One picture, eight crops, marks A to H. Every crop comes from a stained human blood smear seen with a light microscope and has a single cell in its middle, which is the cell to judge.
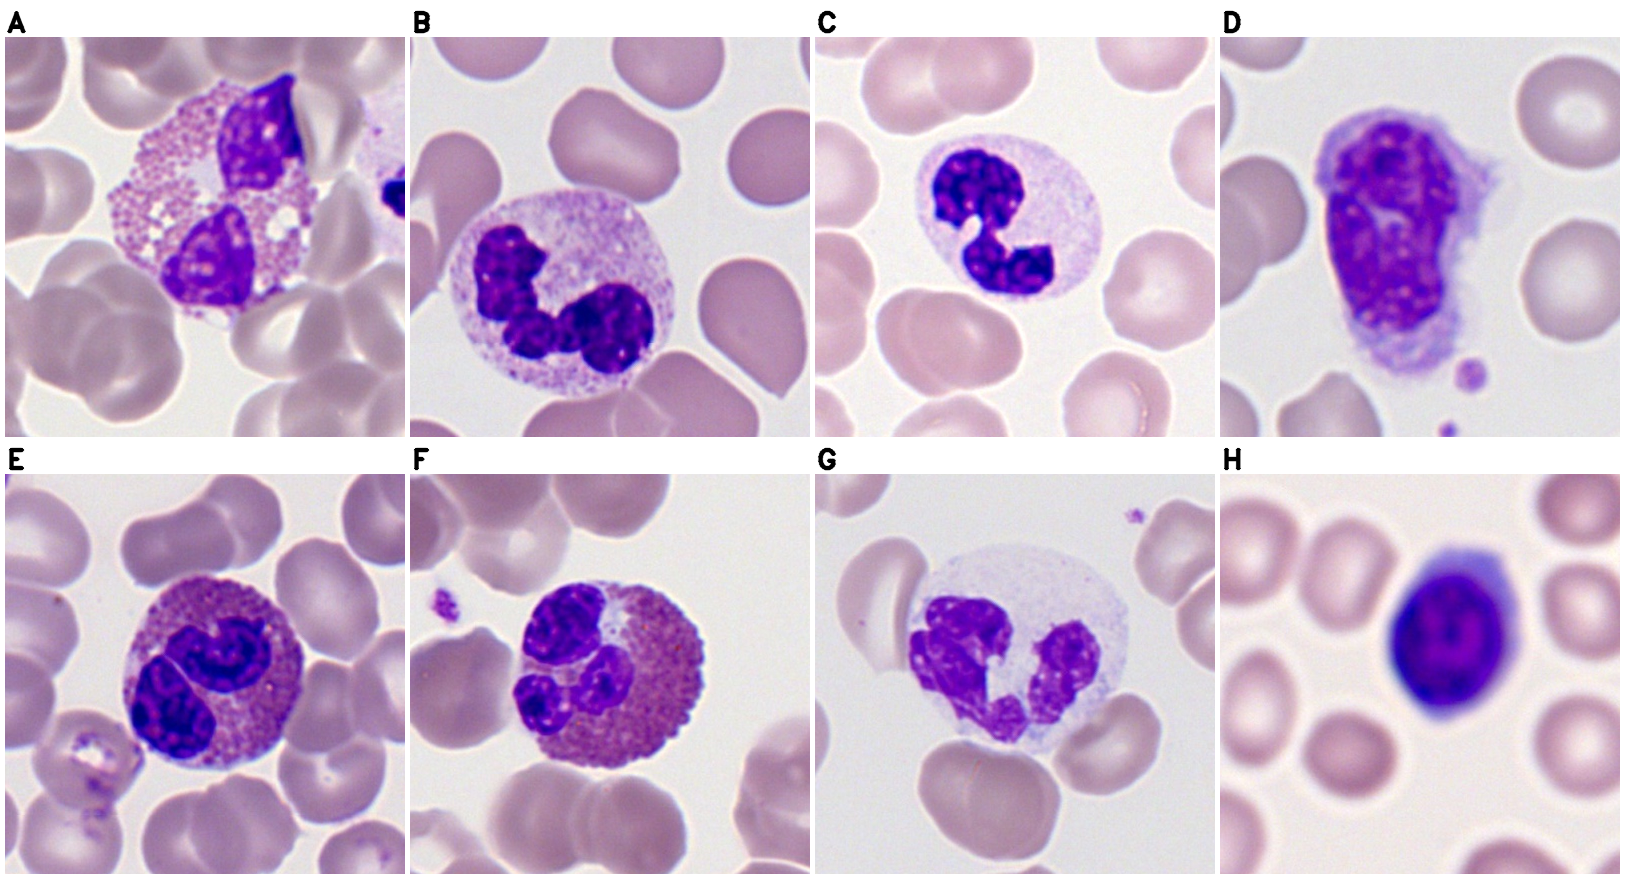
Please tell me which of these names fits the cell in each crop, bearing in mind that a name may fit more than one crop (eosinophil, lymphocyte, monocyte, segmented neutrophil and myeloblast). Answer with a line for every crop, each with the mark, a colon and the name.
A: eosinophil
B: segmented neutrophil
C: segmented neutrophil
D: monocyte
E: eosinophil
F: eosinophil
G: segmented neutrophil
H: lymphocyte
